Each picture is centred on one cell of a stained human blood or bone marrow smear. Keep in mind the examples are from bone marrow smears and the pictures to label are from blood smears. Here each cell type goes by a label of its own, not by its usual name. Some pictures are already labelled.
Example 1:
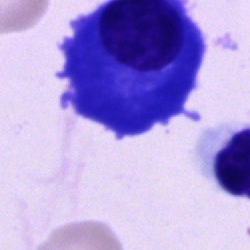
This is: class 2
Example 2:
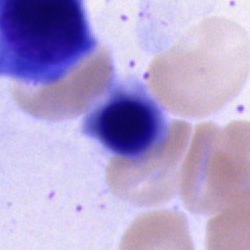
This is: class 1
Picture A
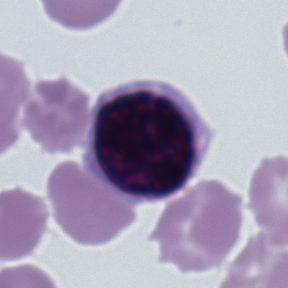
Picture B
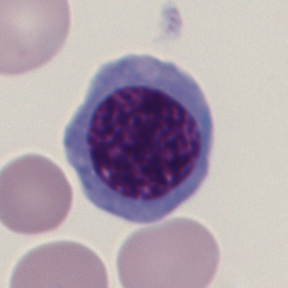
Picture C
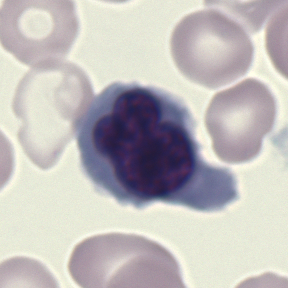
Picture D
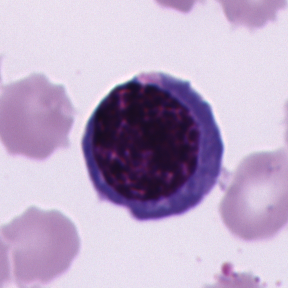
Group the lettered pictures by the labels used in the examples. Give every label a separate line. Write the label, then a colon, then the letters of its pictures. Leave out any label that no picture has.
class 1: A, B, C, D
